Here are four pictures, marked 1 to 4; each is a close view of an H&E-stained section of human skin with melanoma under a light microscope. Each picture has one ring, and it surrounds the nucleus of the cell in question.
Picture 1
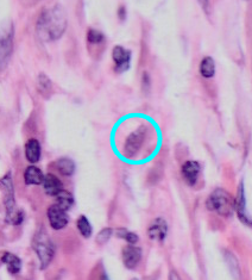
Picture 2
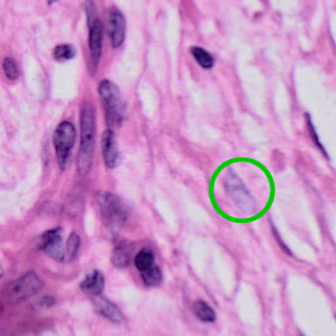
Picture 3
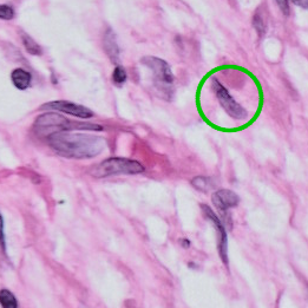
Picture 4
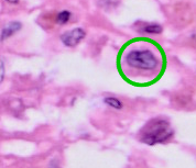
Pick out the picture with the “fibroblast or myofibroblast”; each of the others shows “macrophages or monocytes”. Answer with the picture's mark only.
2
